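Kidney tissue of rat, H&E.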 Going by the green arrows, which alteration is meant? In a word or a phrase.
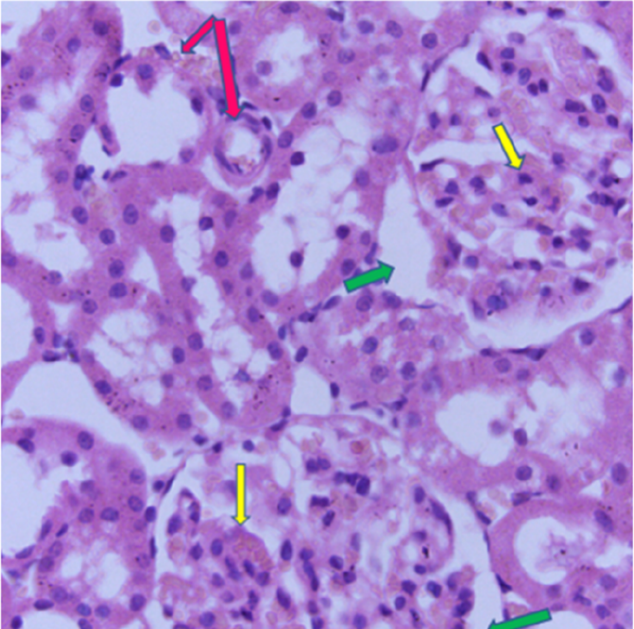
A: Increased of urinary space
